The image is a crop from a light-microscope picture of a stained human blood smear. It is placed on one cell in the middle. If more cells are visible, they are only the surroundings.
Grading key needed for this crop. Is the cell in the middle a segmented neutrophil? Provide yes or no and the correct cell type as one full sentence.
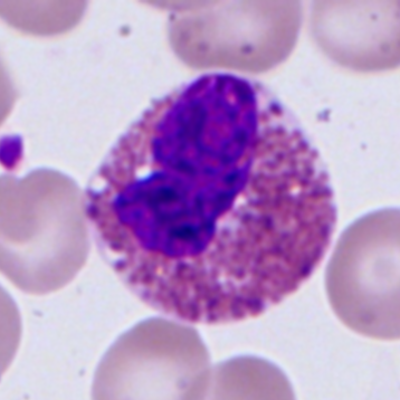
No, this one is an eosinophil; it is not a segmented neutrophil.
